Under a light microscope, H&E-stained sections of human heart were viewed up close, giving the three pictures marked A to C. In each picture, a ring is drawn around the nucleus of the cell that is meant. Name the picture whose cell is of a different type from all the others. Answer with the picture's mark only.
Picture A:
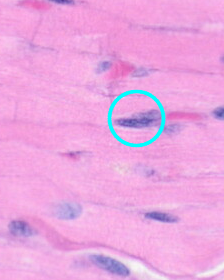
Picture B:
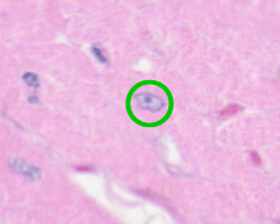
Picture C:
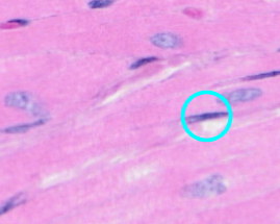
B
